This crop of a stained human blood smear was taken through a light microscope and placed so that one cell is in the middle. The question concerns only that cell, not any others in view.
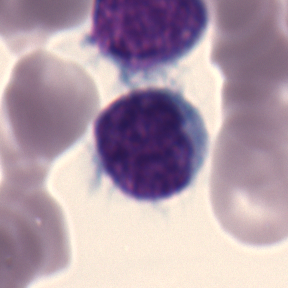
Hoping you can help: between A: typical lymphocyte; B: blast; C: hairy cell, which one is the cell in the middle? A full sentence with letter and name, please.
The central cell in this crop is a hairy cell, so the correct choice is option C.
